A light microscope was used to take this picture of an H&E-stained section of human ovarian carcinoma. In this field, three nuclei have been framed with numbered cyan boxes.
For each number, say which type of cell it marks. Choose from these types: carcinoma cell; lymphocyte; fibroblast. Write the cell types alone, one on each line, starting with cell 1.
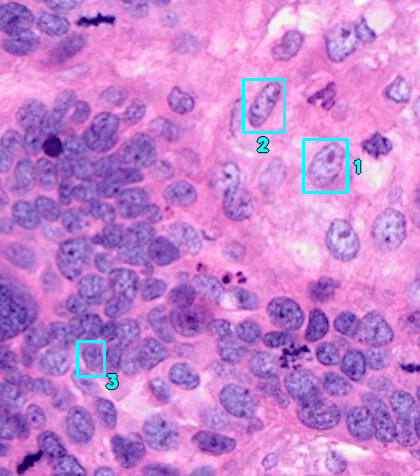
fibroblast
fibroblast
carcinoma cell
